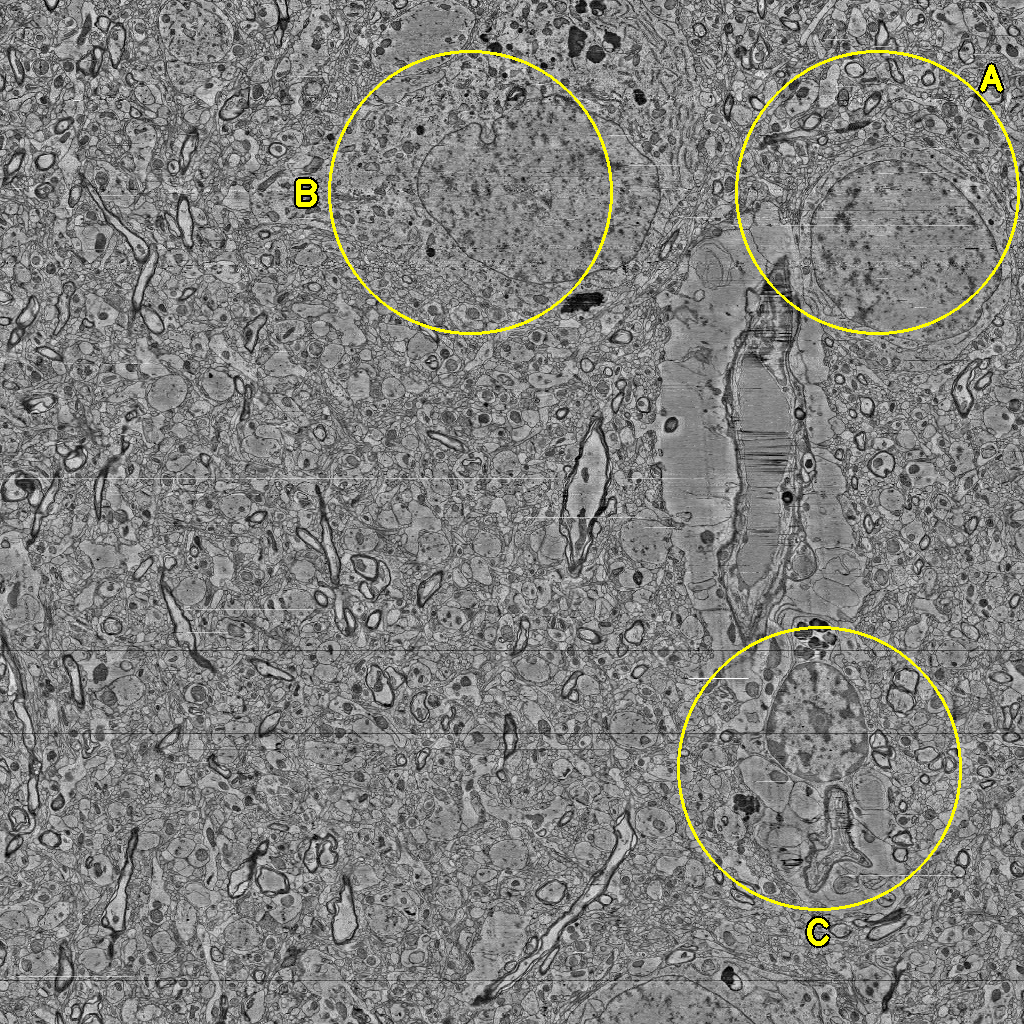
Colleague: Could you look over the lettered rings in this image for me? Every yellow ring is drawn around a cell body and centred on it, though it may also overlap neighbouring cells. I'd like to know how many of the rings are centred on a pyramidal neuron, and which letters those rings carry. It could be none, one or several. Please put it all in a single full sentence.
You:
As for the rings with the letters A and B, there are two, each centred on a pyramidal neuron.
